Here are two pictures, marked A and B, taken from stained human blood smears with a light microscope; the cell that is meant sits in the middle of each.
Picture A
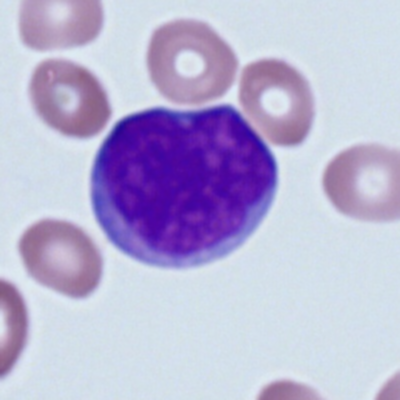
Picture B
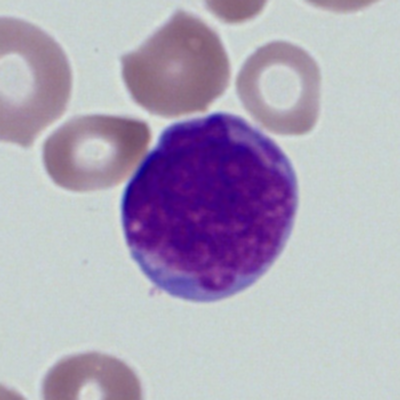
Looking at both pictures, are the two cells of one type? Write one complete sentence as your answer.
Yes; the cells in both pictures are myeloblasts.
